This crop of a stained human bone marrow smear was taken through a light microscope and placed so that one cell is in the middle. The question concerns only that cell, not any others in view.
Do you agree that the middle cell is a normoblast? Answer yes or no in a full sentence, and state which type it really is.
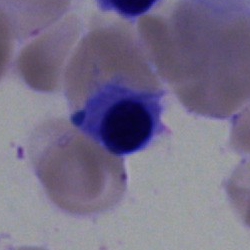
Yes, the cell at the very centre of the crop is a normoblast.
